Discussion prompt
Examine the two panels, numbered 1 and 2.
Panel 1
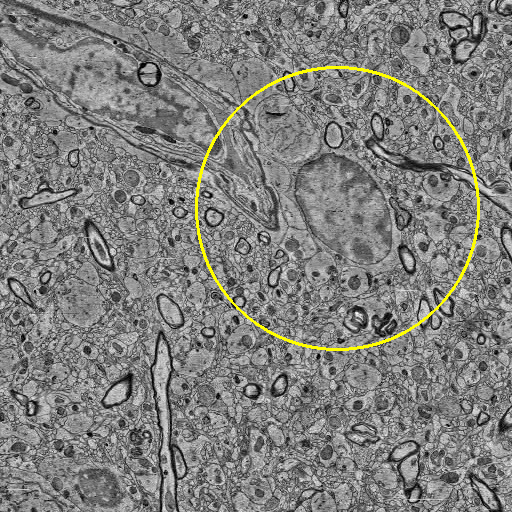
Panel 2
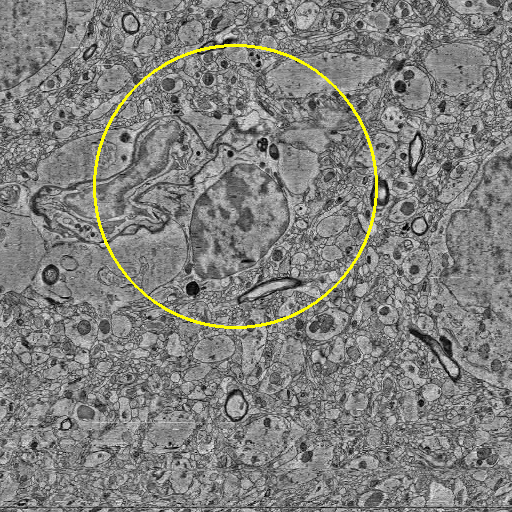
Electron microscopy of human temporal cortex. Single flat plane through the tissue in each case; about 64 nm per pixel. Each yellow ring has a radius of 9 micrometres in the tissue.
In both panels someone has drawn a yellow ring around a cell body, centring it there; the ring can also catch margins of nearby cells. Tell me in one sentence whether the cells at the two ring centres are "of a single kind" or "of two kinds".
Taken together, the two cells centred in the rings of Panels 1 and 2 are of two kinds.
